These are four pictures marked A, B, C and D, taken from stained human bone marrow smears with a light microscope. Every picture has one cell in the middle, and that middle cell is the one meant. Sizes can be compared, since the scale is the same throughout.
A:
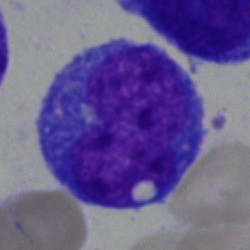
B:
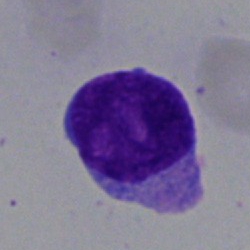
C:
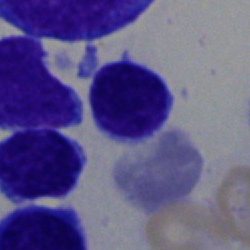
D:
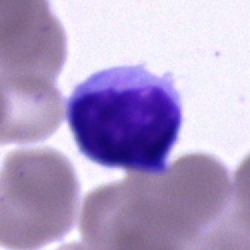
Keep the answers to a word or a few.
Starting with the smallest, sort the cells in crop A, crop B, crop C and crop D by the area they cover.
C, D, B, A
